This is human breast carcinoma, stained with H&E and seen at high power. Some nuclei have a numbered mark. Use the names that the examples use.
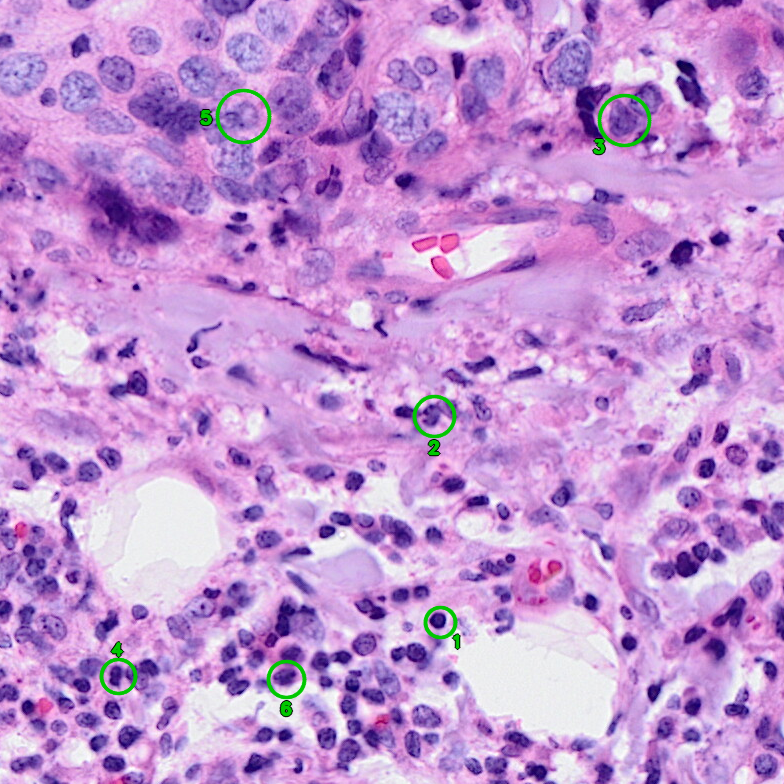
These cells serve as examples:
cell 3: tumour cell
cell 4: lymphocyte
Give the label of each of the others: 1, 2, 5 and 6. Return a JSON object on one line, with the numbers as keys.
{"1": "lymphocyte", "2": "lymphocyte", "5": "tumour cell", "6": "lymphocyte"}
